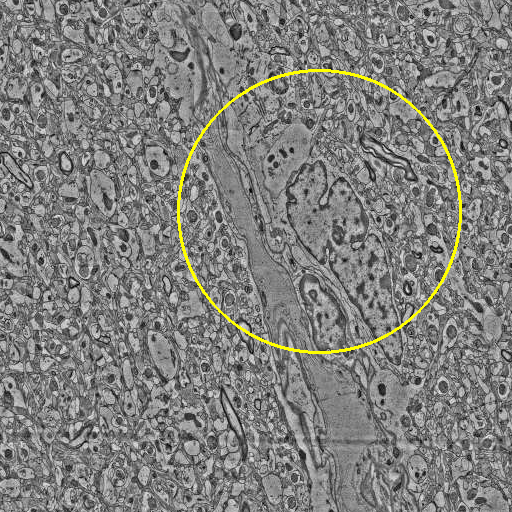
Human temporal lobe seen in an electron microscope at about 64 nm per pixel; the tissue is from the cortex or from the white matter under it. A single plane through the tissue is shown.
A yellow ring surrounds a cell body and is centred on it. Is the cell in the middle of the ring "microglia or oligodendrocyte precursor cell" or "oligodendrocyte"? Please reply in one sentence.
The ring is centred on a microglial cell or oligodendrocyte precursor cell.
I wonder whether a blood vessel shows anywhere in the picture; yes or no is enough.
Yes, a blood vessel shows in the picture.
